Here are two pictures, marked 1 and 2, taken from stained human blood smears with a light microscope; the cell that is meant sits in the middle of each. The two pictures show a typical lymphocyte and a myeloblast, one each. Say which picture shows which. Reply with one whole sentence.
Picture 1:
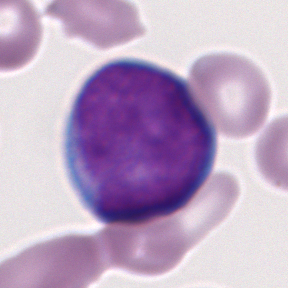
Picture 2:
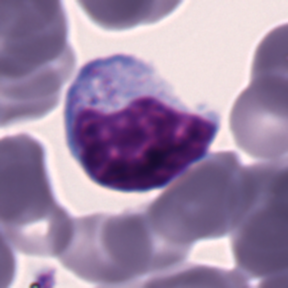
Picture 1 is of a myeloblast, and picture 2 is of a typical lymphocyte.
